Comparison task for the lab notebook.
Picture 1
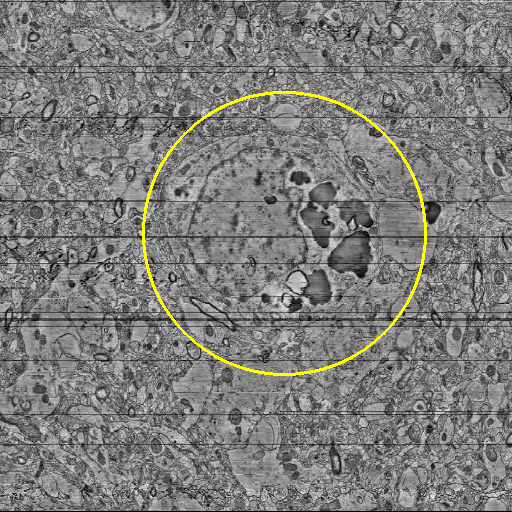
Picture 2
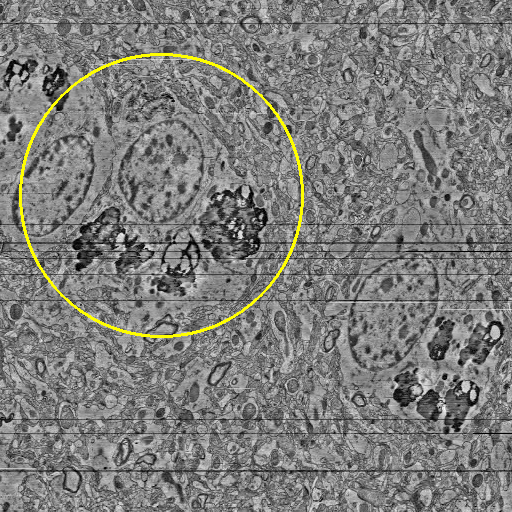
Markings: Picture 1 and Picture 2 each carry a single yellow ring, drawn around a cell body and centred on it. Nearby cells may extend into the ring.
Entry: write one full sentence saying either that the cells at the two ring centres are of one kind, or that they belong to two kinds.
The cells sitting at the ring centres in Picture 1 and Picture 2 belong to two kinds.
